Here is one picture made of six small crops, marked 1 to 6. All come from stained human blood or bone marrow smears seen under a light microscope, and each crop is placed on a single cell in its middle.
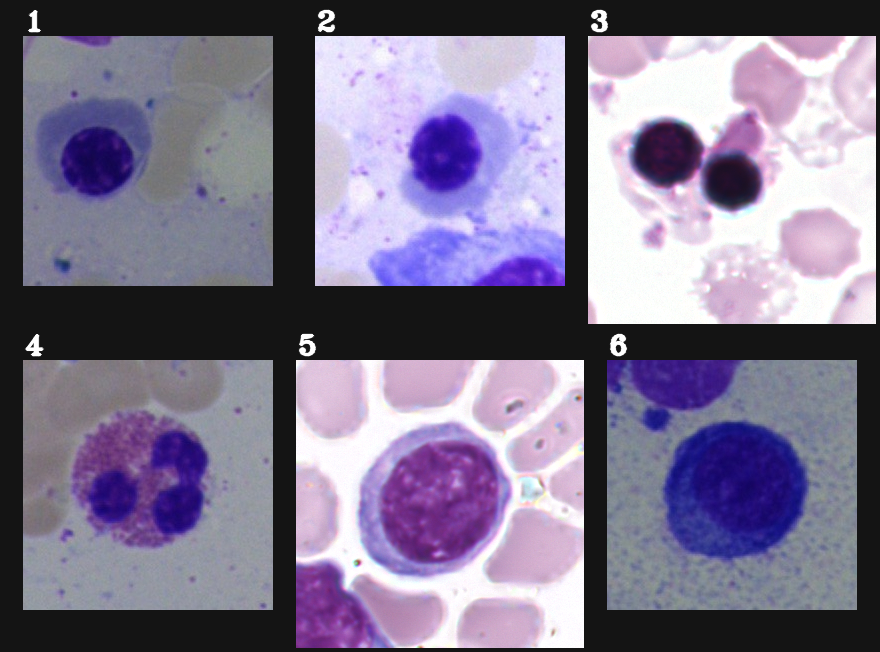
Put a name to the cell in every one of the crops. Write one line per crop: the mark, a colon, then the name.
1: normoblast
2: normoblast
3: normoblast
4: eosinophil
5: plasma cell
6: plasma cell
